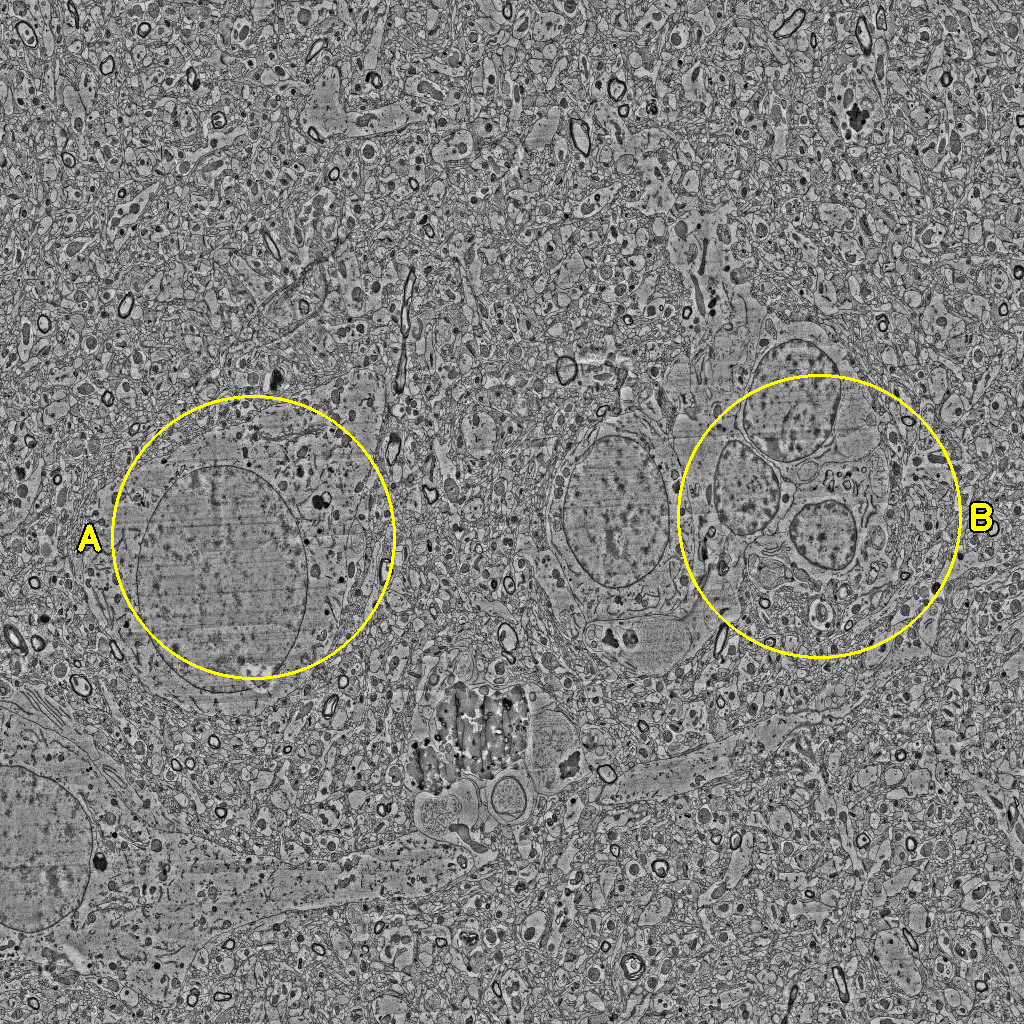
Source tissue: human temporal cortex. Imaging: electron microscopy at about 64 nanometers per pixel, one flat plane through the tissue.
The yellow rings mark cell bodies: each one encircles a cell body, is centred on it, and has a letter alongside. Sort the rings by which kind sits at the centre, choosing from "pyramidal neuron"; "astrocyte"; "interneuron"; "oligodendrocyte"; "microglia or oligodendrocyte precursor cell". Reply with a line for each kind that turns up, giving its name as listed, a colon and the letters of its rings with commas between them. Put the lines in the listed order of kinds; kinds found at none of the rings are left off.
pyramidal neuron: A
astrocyte: B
